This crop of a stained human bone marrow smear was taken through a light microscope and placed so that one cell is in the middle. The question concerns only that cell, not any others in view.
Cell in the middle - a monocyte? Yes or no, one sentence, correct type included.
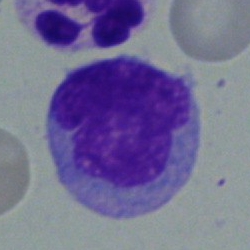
Yes, the cell in the exact middle is a monocyte.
